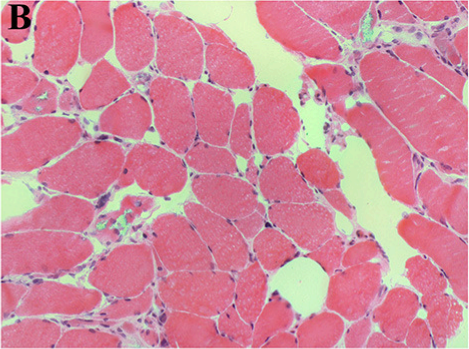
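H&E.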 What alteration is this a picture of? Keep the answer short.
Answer: Variability in fiber sizes.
